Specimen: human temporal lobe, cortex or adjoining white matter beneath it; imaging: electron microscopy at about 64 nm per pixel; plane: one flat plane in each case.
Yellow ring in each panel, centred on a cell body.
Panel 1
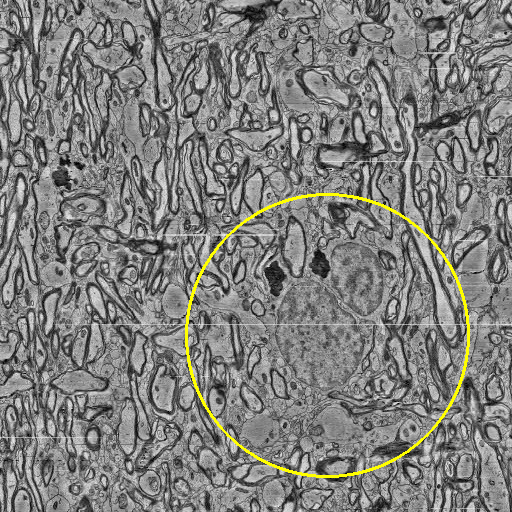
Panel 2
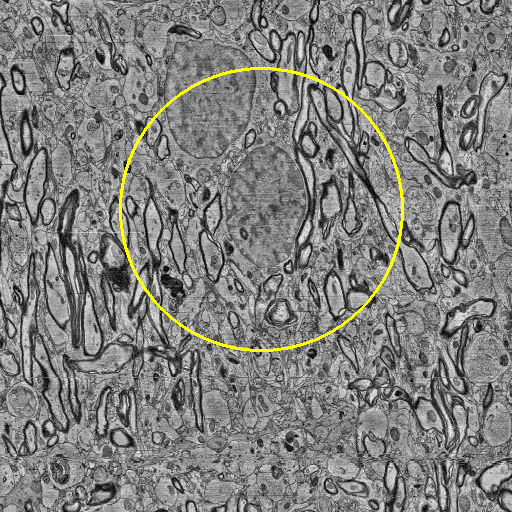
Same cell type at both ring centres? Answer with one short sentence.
Yes, both cells are of the same type.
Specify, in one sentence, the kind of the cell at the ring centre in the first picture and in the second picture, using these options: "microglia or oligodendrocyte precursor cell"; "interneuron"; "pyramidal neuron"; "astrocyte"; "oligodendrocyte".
In both pictures the ring is centred on an oligodendrocyte.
